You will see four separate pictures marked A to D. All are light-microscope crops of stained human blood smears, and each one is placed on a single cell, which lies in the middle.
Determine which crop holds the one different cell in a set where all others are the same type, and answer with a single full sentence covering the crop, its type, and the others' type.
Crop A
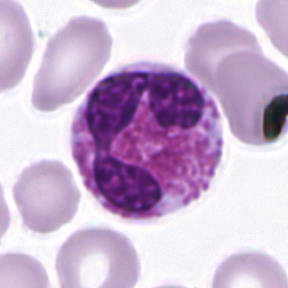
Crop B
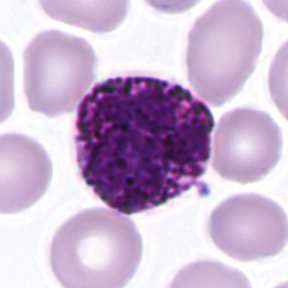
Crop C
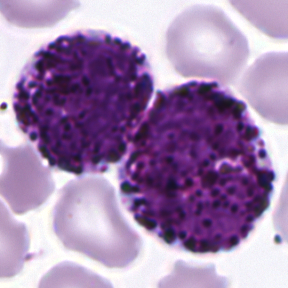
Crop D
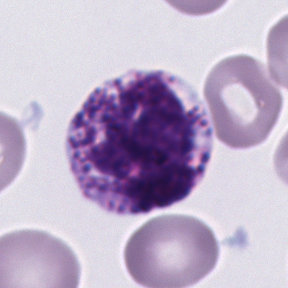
Differing from the rest, crop A shows an eosinophil; the others all show basophils.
